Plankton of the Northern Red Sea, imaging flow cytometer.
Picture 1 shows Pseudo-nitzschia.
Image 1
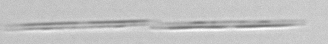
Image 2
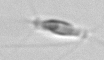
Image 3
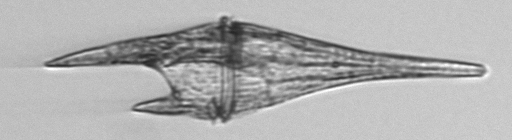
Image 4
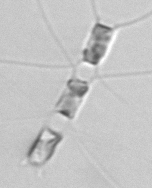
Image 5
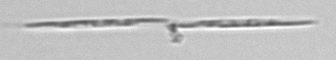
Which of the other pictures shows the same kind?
Picture 5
